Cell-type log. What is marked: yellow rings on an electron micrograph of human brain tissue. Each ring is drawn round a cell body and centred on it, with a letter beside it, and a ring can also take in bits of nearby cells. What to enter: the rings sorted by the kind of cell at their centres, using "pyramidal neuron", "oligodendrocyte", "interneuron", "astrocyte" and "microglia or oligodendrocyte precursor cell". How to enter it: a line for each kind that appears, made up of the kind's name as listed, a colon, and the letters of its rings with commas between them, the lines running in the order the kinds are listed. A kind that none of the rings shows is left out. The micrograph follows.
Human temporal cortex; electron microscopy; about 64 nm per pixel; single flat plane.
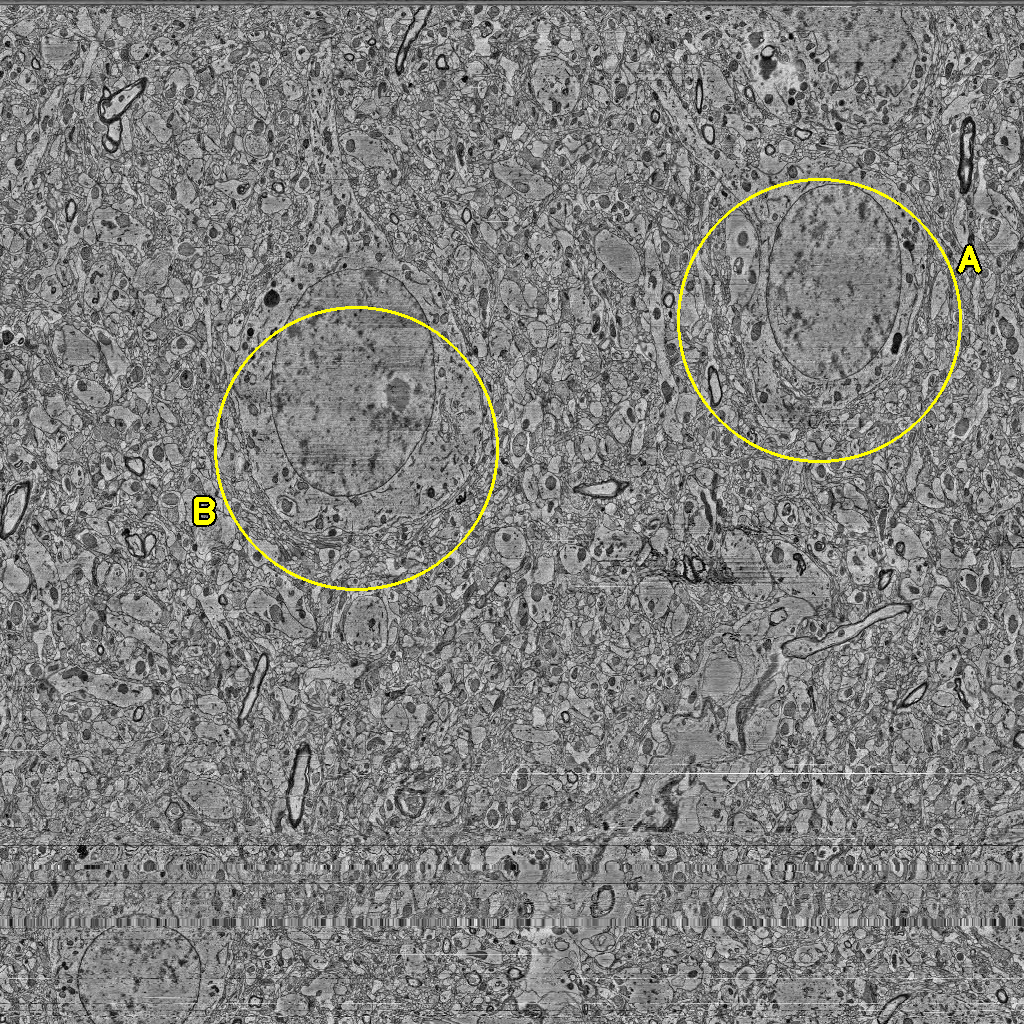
pyramidal neuron: A, B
